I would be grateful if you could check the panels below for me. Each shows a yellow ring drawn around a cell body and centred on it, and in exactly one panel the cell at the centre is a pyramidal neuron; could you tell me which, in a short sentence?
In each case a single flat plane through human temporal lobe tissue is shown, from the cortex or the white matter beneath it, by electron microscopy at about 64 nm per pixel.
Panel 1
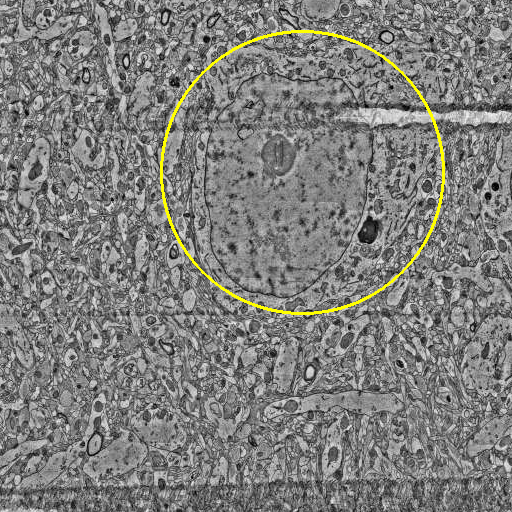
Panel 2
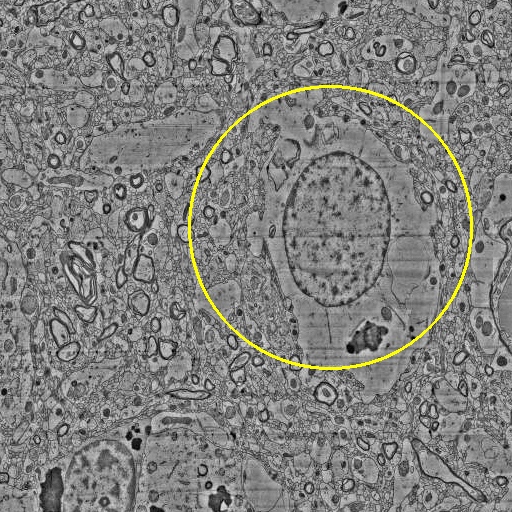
The ring in Panel 1 is centred on it.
